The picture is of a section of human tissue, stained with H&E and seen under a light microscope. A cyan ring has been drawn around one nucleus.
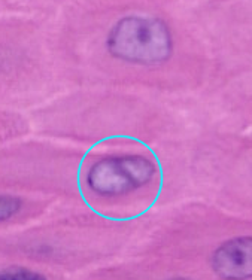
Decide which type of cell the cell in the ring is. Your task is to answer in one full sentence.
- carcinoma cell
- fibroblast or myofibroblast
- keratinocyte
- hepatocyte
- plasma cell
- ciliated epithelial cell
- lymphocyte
In terms of identity, the cell in the ring is a keratinocyte.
